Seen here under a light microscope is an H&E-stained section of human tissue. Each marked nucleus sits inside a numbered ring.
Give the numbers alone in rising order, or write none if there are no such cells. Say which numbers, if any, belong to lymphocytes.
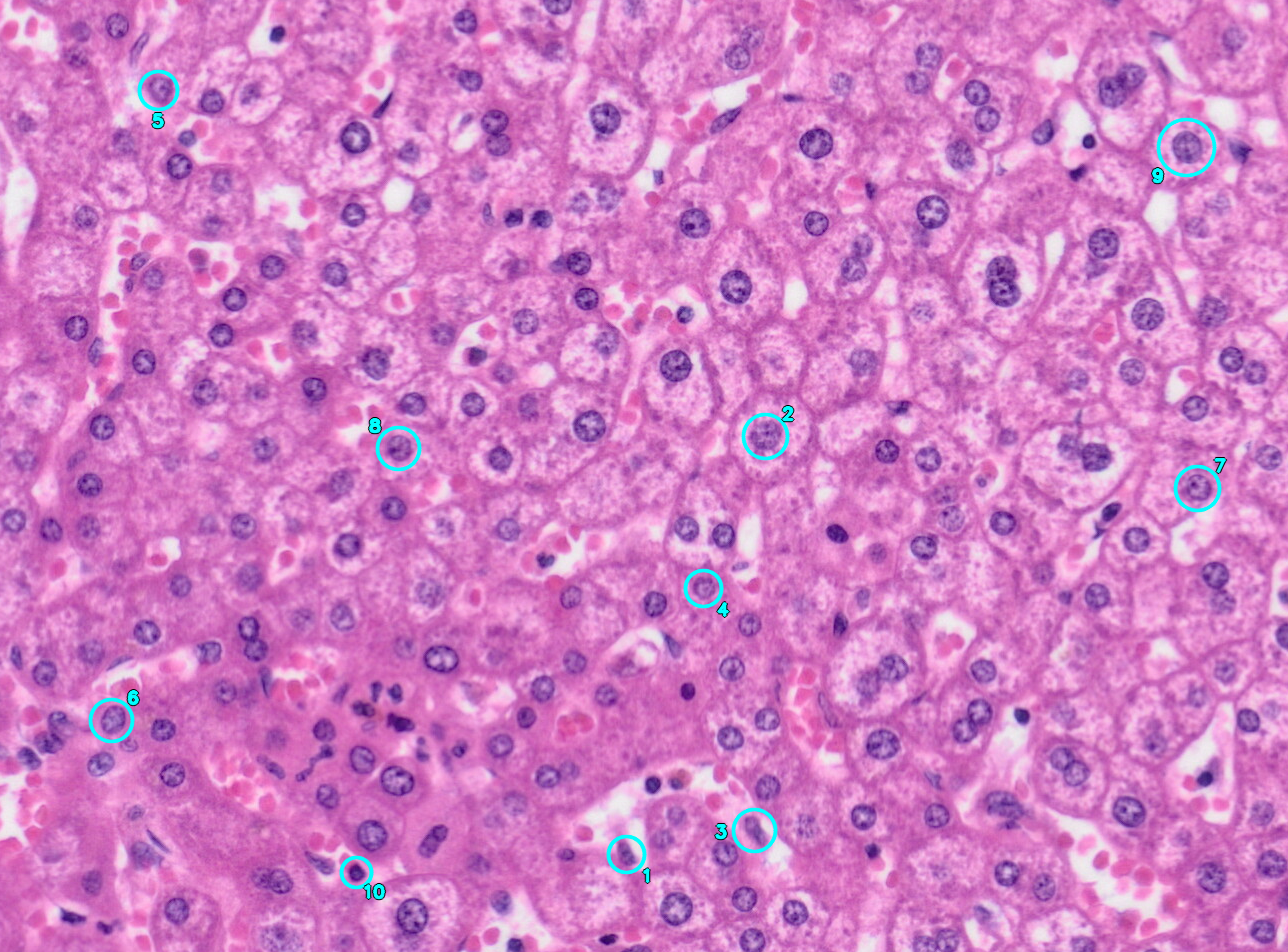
10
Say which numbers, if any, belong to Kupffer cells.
1, 3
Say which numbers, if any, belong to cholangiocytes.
6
